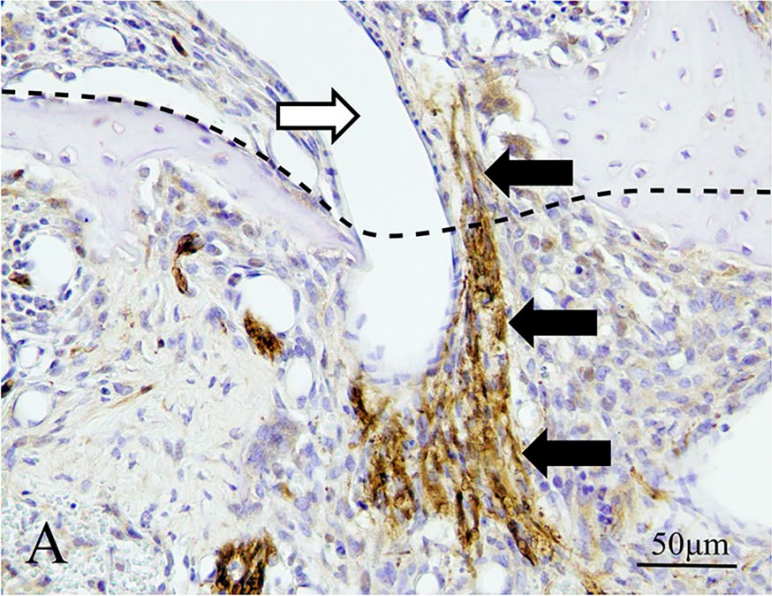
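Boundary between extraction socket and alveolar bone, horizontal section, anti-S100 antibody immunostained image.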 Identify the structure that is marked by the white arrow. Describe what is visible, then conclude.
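The white arrow points to a large clear, empty lumen. The lumen is bordered by a thin layer of flattened cells. That points to this answer: blood vessel.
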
